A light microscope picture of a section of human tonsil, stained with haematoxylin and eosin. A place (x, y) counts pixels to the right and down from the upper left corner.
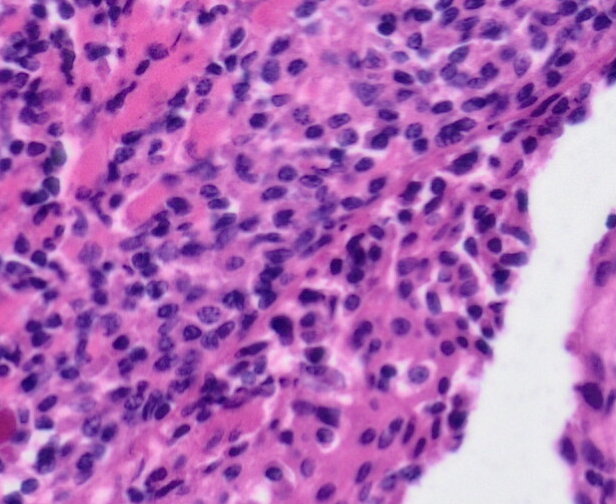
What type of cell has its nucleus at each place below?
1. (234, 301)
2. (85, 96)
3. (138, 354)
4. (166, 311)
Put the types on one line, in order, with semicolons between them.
plasma cell; endothelial cell; plasma cell; plasma cell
